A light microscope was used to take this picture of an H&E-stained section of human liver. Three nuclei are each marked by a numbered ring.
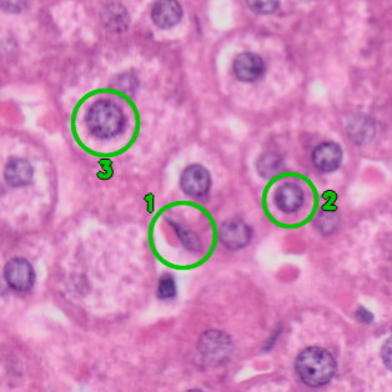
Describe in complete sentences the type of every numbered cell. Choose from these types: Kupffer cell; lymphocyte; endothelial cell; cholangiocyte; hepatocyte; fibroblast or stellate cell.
Cell 1 is a Kupffer cell, cell 2 is a hepatocyte and cell 3 is a hepatocyte.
